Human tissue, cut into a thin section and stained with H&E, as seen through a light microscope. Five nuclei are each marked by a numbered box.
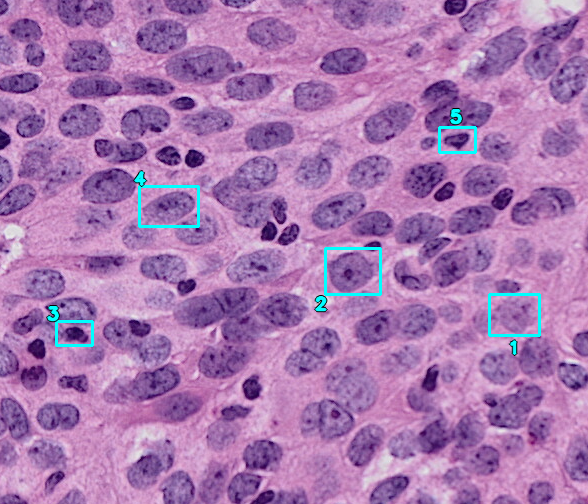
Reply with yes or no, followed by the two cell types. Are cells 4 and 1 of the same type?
Yes, that cells 4 and 1 are both carcinoma cells holds true.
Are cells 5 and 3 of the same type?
Yes, the pair of cells 5 and 3 are both lymphocytes.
